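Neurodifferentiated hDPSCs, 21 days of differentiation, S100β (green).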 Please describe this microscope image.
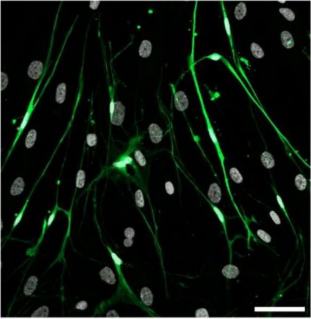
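Cultured cells are shown, a good part of them with a slender Schwann cell-like shape picked out in green. The green cell bodies are brightest around the nucleus and taper into fine threads. Unlabelled cells in the background appear only as larger, rounder white nuclei.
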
